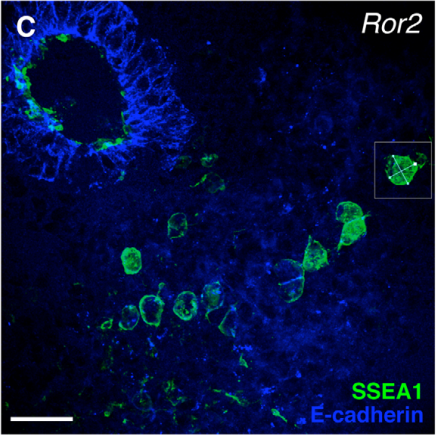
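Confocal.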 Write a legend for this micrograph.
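This section shows germ cells lying in the dorsal mesentery below a gut tube. At the upper left, a tube of tall epithelial cells with bright blue borders surrounds a dark lumen. Beneath and to the right of it, cells outlined in green are scattered through the faintly blue loose tissue, several of them arranged in a loose row. Most of these green-outlined cells are smooth and round, like rings, with few or no protrusions; only a couple show a pointed extension. Their rounded form stands out when compared with cells that crawl actively with spreading processes.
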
